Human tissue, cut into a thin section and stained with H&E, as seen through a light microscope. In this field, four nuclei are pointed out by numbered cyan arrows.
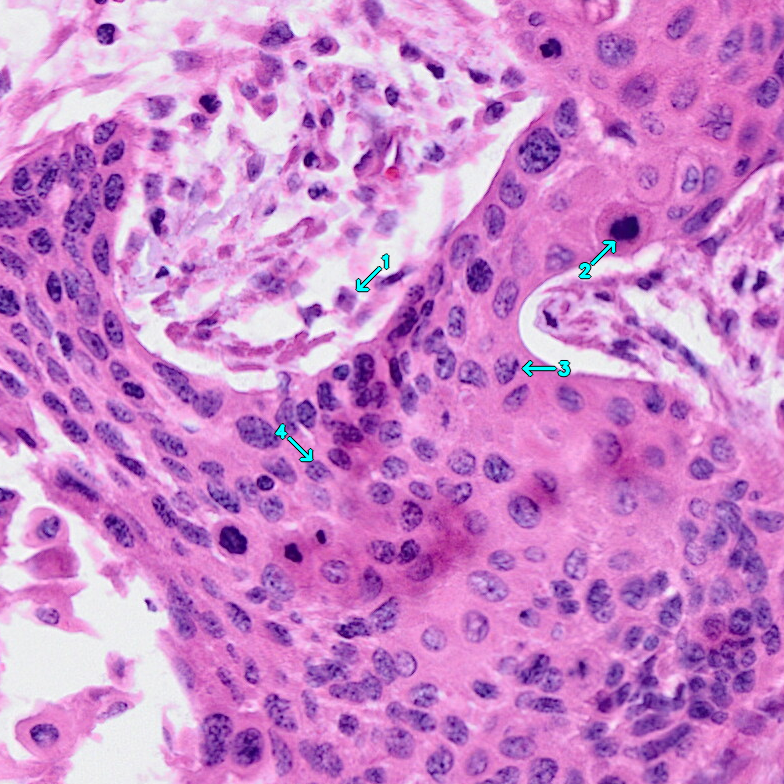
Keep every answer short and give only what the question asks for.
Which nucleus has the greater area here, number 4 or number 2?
2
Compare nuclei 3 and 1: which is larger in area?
3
